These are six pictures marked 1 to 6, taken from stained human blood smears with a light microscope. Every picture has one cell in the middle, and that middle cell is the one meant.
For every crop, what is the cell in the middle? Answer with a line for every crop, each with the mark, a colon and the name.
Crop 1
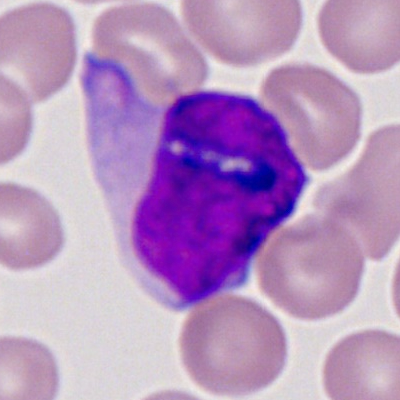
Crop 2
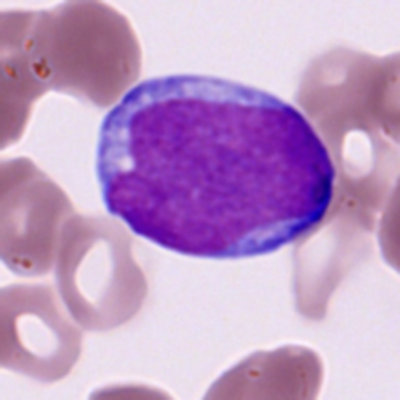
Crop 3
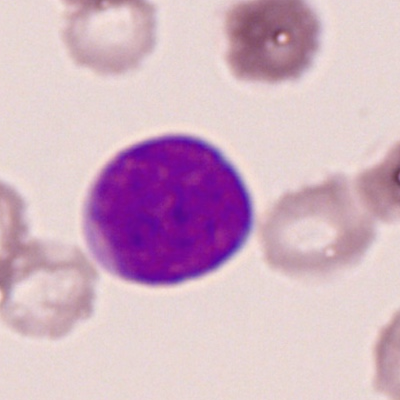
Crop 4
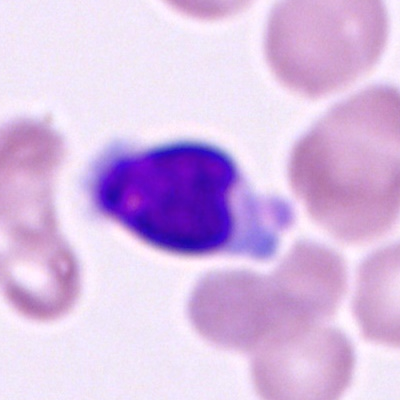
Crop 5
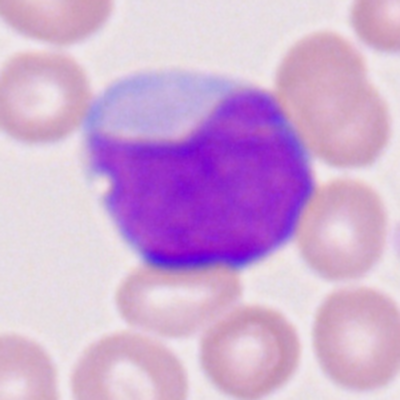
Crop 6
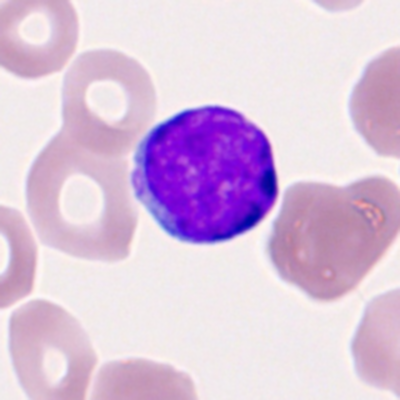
1: myeloblast
2: myeloblast
3: myeloblast
4: lymphocyte
5: myeloblast
6: lymphocyte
